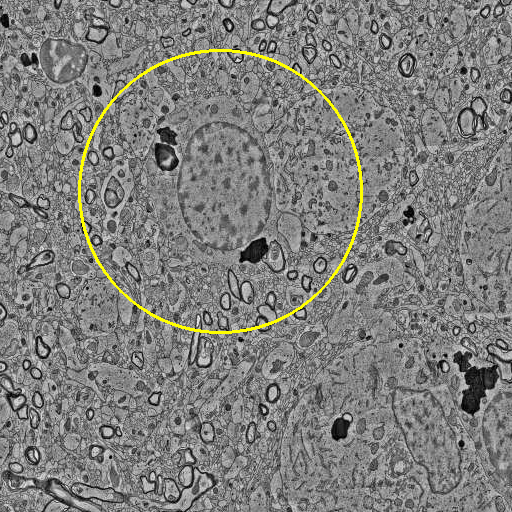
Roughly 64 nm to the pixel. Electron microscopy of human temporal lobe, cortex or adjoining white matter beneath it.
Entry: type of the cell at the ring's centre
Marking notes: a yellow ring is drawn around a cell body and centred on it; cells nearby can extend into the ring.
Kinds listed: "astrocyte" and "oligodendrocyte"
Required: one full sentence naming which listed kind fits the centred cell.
My entry names an oligodendrocyte as the cell whose body the yellow ring centres on.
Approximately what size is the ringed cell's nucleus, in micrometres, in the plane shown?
The ringed cell's nucleus is about 8 micrometres long and 6 micrometres wide in this plane.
